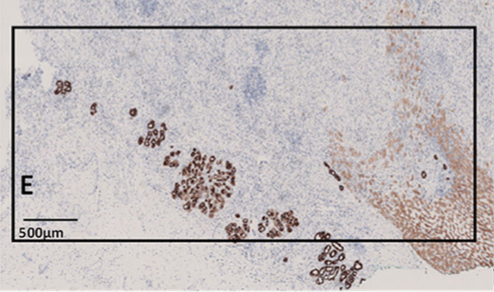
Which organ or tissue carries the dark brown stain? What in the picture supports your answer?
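Dark brown stain is confined to clustered small glandular and ductal structures. The tissue between these clusters is pale blue and unstained.
Conclusion: epithelium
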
